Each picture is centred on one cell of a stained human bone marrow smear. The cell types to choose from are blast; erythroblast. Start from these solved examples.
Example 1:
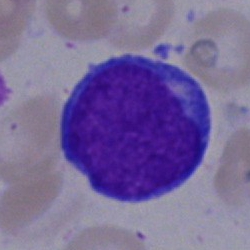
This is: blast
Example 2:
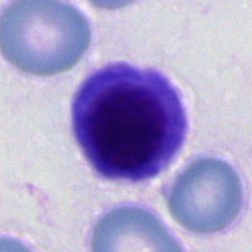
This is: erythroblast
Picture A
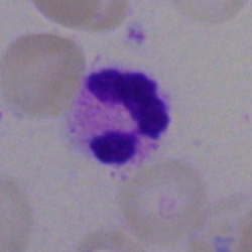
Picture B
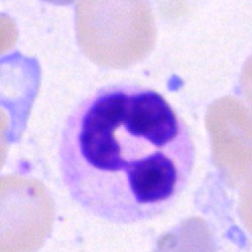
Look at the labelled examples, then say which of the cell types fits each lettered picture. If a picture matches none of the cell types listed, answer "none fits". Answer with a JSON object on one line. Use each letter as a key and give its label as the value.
{"A": "none fits", "B": "none fits"}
